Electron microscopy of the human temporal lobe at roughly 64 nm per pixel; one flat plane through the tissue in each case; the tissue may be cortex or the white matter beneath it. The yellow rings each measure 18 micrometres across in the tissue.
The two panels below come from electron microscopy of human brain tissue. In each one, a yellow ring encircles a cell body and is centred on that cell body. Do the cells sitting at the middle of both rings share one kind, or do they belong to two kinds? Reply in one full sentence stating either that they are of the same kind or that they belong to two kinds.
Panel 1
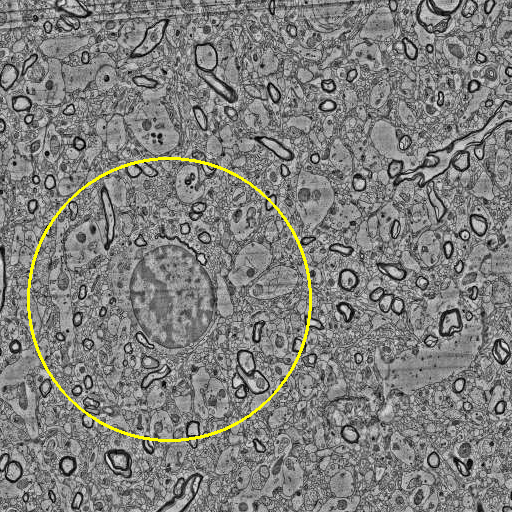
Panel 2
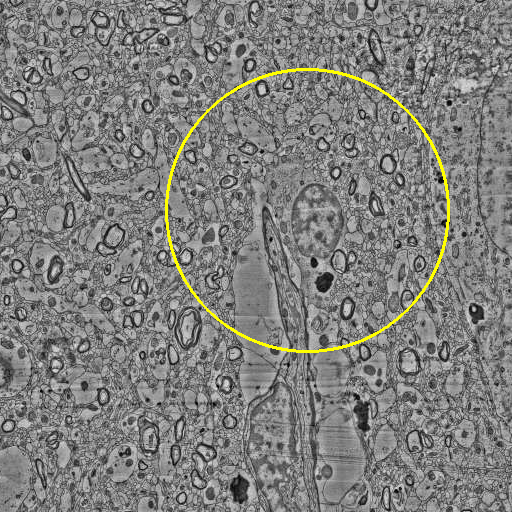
The cells at the centres of the two rings are of the same kind.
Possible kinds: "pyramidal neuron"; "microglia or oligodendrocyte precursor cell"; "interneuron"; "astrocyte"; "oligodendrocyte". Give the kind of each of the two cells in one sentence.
The first and the second cell are each an oligodendrocyte.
